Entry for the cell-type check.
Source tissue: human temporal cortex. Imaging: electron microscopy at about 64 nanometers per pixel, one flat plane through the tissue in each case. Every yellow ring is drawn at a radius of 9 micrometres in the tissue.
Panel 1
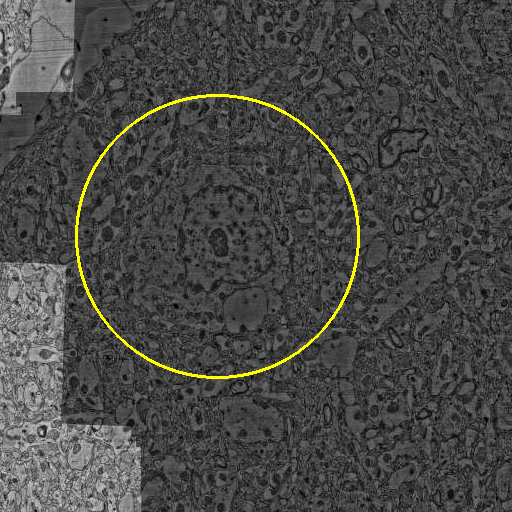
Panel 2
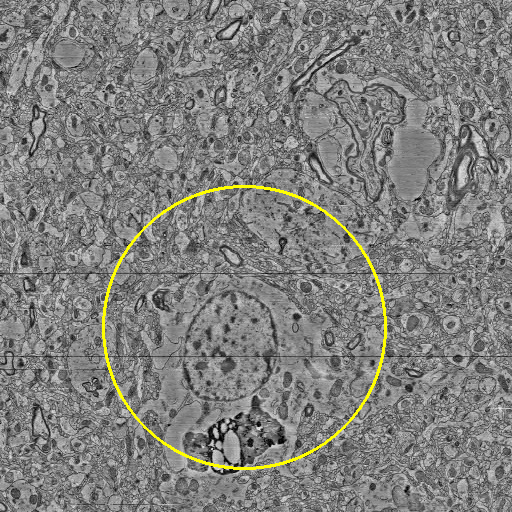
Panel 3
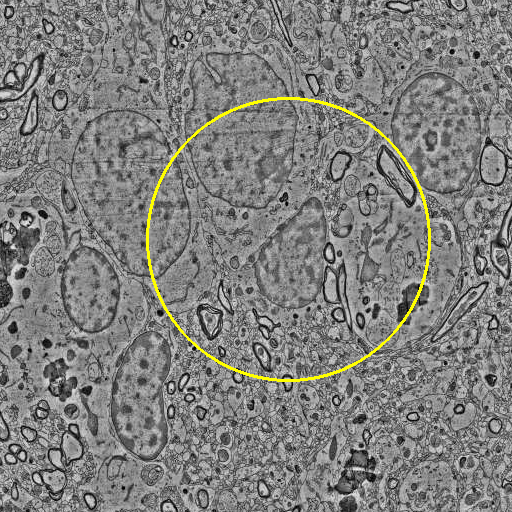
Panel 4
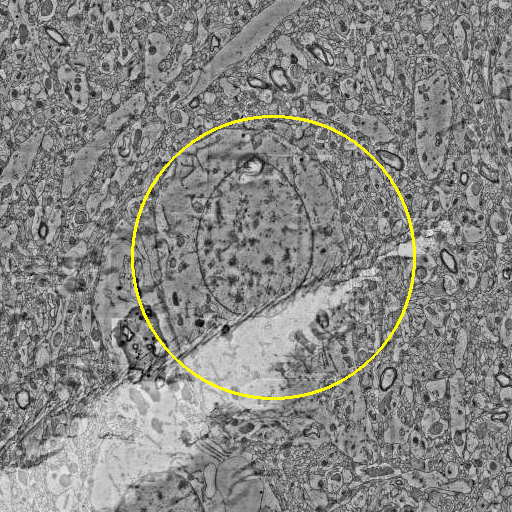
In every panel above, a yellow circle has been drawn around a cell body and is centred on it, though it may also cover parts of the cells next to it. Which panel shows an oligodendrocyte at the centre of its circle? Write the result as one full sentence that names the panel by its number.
Panel 3 shows it at the centre of its circle.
